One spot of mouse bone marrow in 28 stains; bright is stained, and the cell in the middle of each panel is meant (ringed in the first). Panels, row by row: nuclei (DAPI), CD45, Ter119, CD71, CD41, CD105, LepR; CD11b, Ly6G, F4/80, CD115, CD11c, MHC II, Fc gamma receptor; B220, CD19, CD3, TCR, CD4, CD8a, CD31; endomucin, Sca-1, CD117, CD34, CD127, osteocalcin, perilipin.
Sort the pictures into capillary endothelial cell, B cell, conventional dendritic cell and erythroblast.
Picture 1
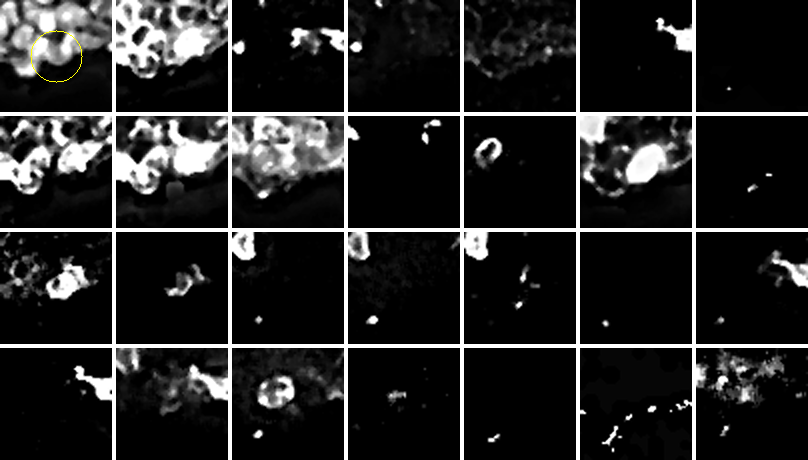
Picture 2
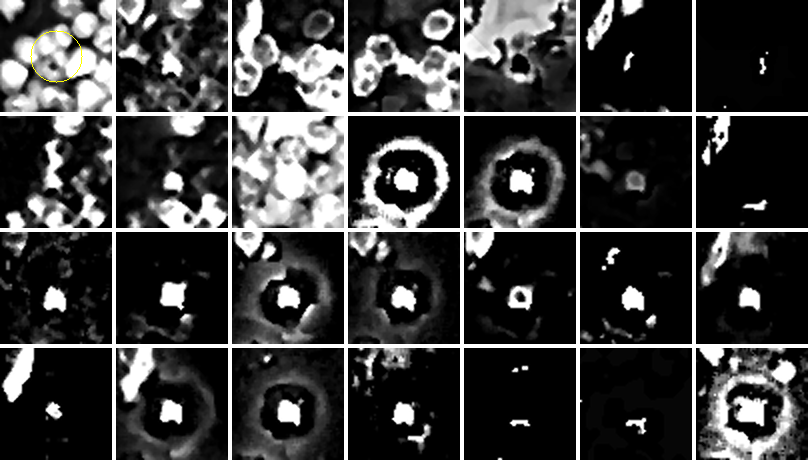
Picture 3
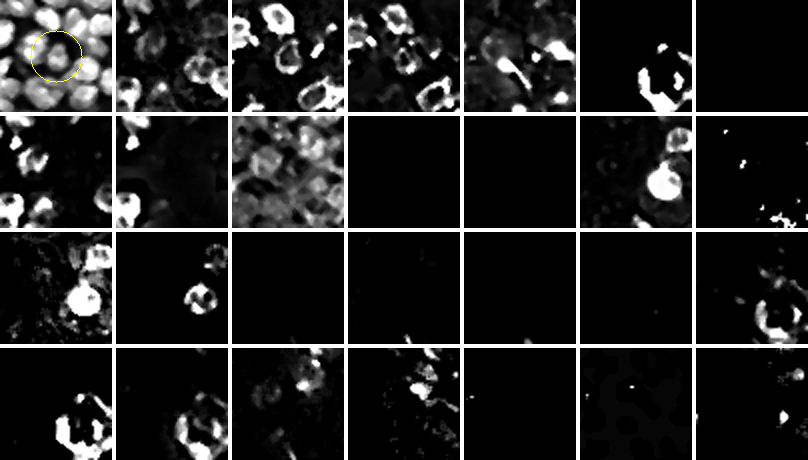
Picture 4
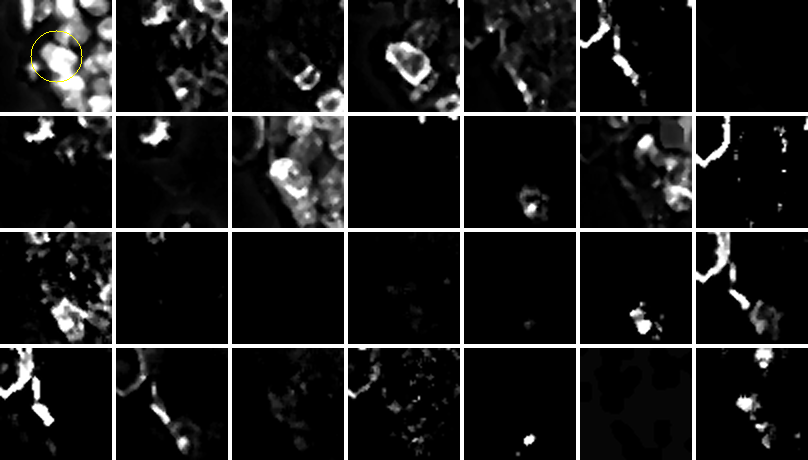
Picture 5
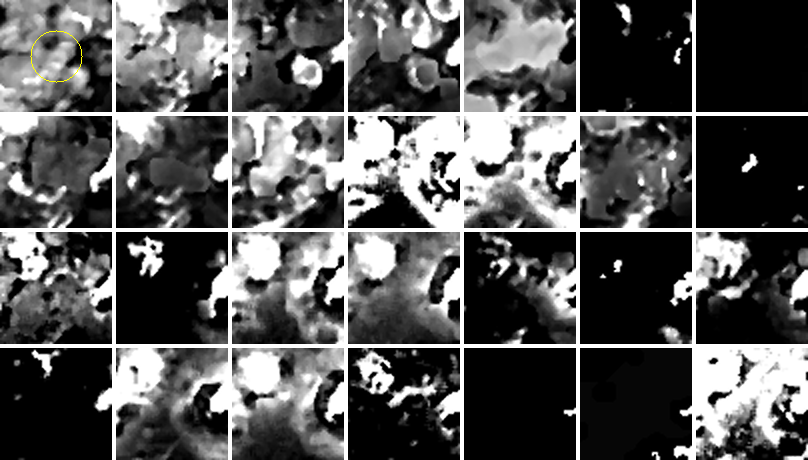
B cells: 1, 2
Erythroblasts: 3
Capillary endothelial cells: 4
Conventional dendritic cells: 5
